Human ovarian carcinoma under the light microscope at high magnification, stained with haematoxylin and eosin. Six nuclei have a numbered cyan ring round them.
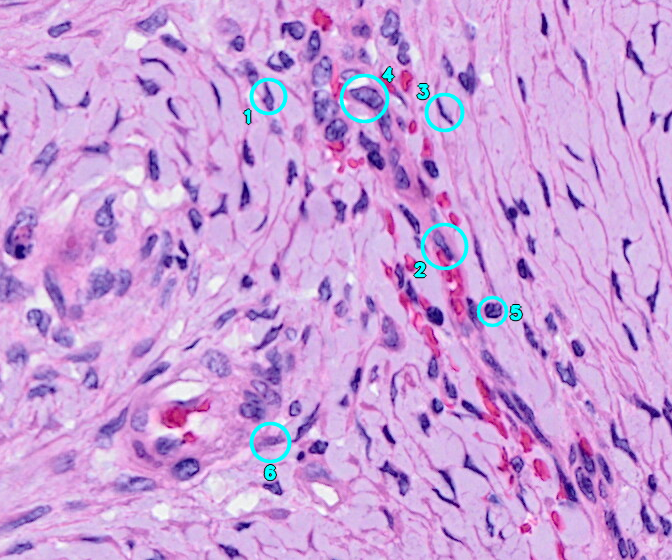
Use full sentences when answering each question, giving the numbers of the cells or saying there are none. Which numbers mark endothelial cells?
Cells numbered 2 and 4 belong to the group of endothelial cells.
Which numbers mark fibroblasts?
The identity of cells 1, 3 and 6: they are fibroblasts.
